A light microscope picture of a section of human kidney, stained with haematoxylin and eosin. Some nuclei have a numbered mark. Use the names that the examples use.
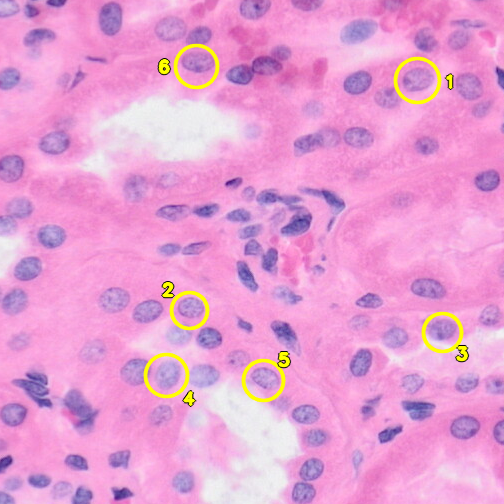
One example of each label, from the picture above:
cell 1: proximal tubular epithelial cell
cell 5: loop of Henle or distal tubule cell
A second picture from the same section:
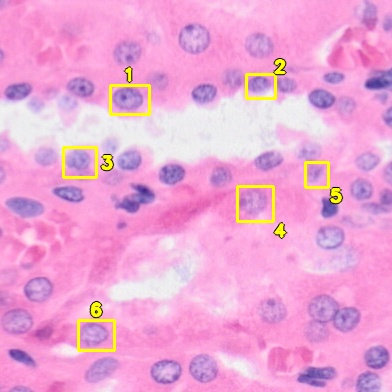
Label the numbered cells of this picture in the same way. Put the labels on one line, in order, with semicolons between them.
loop of Henle or distal tubule cell; loop of Henle or distal tubule cell; loop of Henle or distal tubule cell; proximal tubular epithelial cell; loop of Henle or distal tubule cell; proximal tubular epithelial cell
